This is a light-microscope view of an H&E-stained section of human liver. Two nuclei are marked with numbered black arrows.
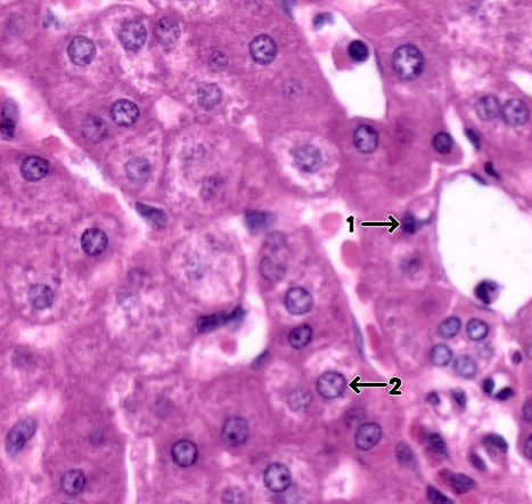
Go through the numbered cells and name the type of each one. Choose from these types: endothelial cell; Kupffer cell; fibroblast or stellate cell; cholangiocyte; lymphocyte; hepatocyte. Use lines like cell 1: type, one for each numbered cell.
cell 1: fibroblast or stellate cell
cell 2: hepatocyte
